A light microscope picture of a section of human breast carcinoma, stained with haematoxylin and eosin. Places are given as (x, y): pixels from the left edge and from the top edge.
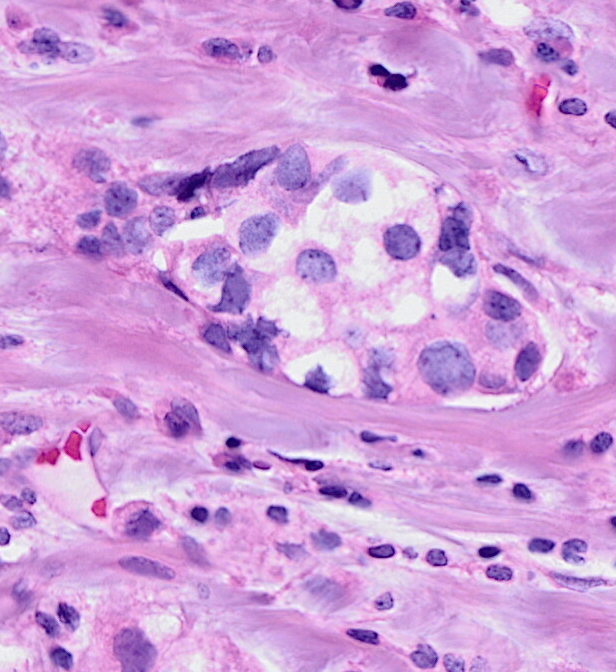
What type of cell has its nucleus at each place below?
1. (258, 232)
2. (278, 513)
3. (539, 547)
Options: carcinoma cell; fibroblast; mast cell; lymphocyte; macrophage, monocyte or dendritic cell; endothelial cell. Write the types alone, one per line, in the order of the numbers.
carcinoma cell
lymphocyte
lymphocyte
